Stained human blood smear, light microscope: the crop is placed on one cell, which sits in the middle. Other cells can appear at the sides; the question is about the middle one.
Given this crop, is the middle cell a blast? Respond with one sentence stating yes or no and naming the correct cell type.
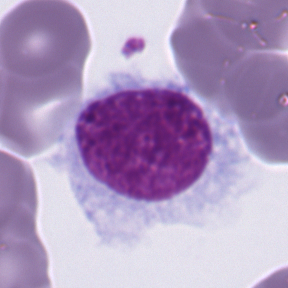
No, the cell centered in the crop is a hairy cell, not a blast.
